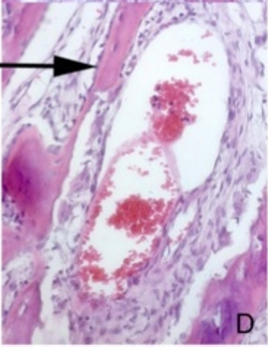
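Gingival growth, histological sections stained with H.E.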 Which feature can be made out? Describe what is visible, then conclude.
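A large thin-walled channel occupies the centre of the field. Clumps of red blood cells fill parts of its lumen. The channel is lined by a thin layer of flat cells.
Blood vessels.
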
